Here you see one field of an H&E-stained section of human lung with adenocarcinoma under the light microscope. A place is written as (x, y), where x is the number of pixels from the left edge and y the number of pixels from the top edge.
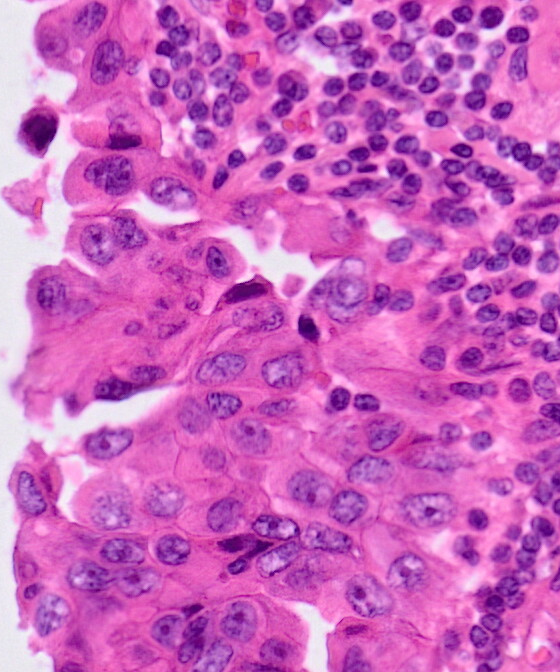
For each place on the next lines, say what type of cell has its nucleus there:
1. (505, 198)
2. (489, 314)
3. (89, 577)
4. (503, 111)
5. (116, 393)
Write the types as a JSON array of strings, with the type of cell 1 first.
["lymphocyte", "lymphocyte", "carcinoma cell", "lymphocyte", "carcinoma cell"]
